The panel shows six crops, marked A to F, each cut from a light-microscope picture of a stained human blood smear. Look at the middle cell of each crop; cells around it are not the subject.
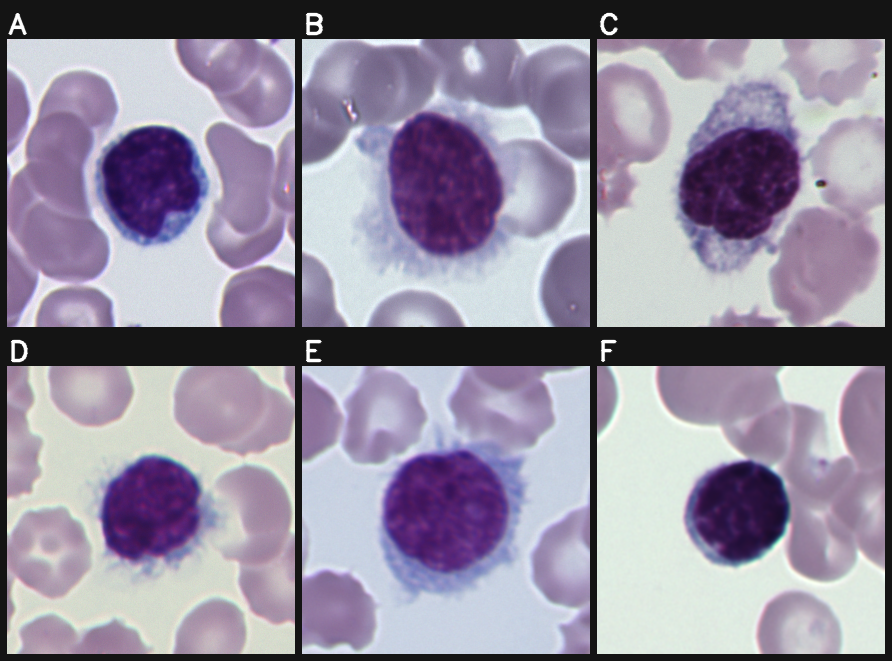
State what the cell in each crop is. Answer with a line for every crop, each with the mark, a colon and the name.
A: typical lymphocyte
B: hairy cell
C: hairy cell
D: hairy cell
E: hairy cell
F: typical lymphocyte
